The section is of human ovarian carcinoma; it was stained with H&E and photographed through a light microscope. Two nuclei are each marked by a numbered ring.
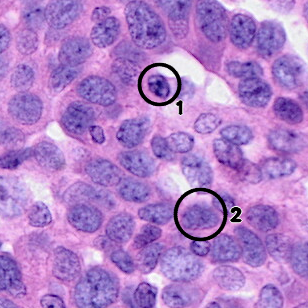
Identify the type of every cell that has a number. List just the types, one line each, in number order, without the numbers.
lymphocyte
carcinoma cell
